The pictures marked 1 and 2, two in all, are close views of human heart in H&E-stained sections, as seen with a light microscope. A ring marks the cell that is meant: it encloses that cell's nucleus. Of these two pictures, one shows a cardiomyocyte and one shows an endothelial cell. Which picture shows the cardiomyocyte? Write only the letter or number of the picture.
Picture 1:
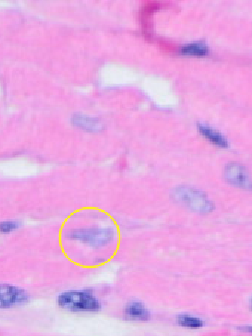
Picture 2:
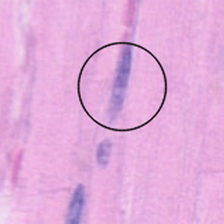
1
